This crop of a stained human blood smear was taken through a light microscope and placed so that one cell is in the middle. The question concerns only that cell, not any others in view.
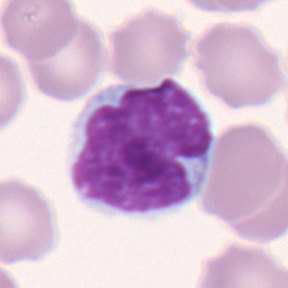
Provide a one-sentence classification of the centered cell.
The cell in the middle of the field of view is a typical lymphocyte.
